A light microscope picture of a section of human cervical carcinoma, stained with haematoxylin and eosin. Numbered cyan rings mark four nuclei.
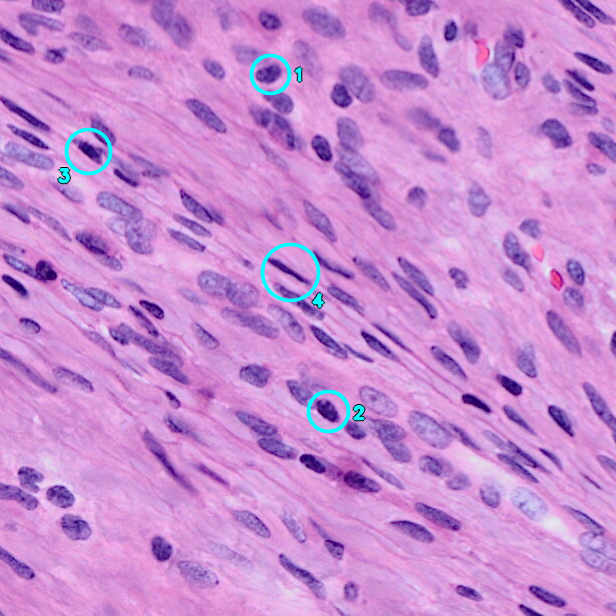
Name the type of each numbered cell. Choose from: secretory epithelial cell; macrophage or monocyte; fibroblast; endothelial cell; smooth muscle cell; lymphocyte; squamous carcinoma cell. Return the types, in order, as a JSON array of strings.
["lymphocyte", "lymphocyte", "lymphocyte", "fibroblast"]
